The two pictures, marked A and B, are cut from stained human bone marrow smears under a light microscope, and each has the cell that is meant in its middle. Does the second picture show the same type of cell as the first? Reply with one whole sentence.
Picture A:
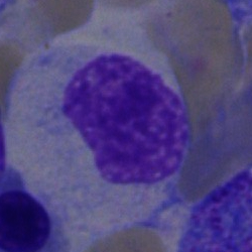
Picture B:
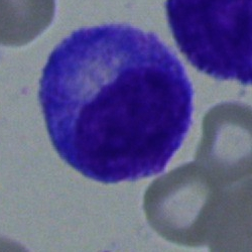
Yes, they are the same type: both are myelocytes.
